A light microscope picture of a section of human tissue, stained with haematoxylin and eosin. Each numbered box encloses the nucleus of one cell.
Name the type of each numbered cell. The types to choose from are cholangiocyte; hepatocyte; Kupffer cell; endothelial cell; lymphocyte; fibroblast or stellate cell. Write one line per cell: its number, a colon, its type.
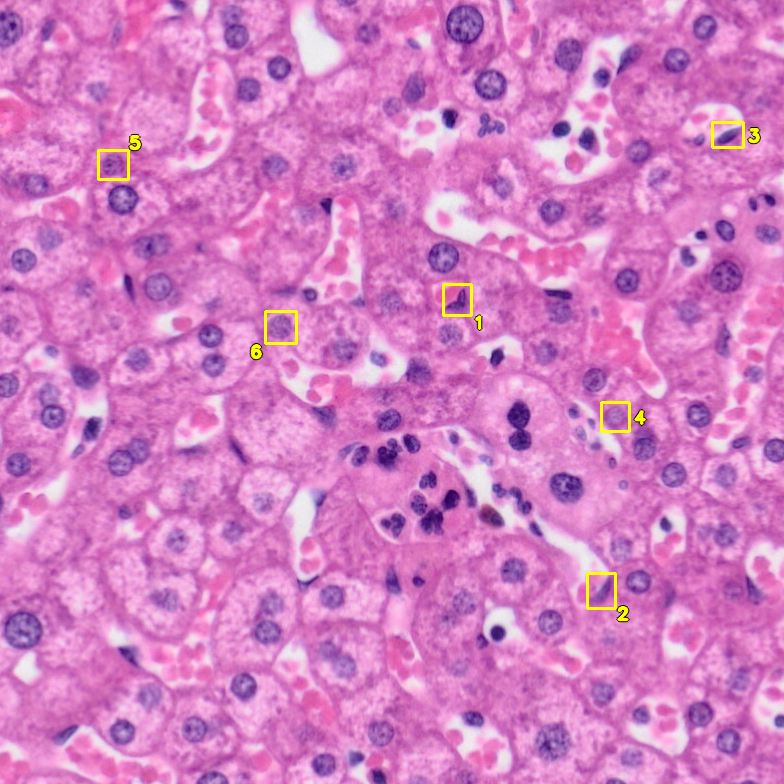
1: endothelial cell
2: endothelial cell
3: endothelial cell
4: hepatocyte
5: hepatocyte
6: hepatocyte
